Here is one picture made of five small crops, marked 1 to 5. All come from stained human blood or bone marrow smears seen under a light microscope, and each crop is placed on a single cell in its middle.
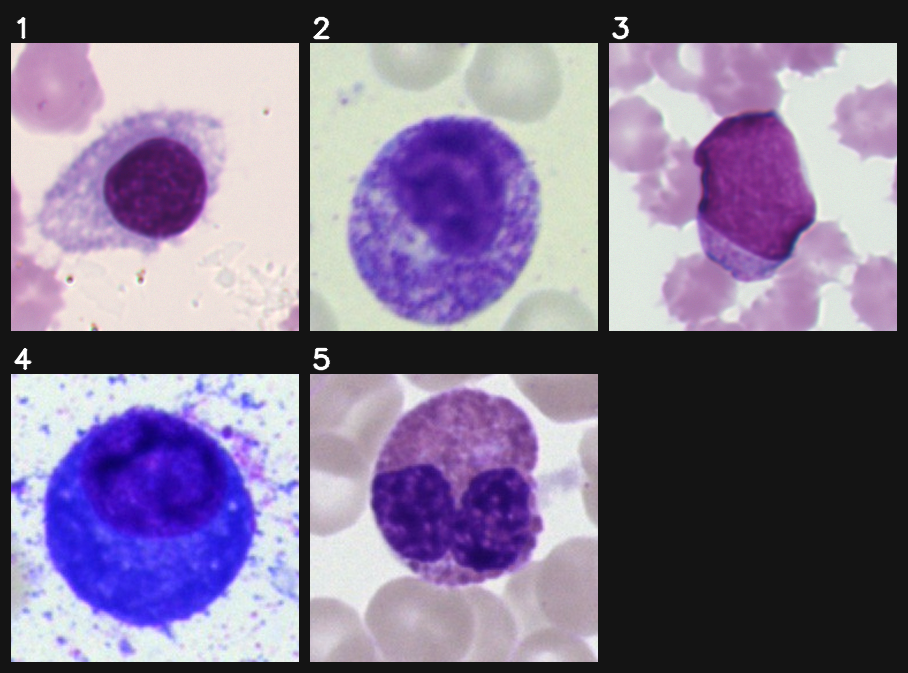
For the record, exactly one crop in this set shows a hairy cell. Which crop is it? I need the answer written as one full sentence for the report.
The one that shows a hairy cell is crop 1.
